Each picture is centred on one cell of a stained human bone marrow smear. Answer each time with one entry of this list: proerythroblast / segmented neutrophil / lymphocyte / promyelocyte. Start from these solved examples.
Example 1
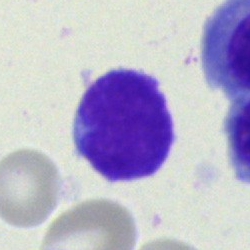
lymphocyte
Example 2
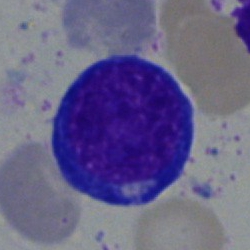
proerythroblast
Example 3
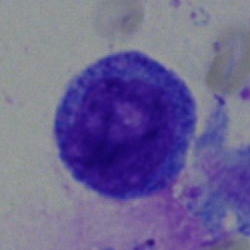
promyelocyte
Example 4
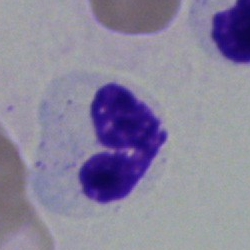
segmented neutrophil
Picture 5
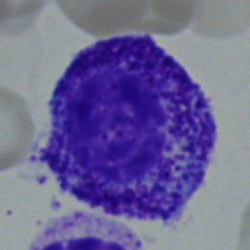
promyelocyte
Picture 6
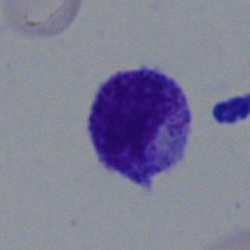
lymphocyte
